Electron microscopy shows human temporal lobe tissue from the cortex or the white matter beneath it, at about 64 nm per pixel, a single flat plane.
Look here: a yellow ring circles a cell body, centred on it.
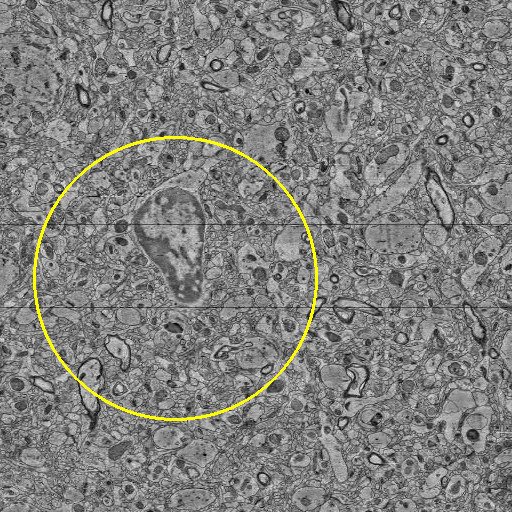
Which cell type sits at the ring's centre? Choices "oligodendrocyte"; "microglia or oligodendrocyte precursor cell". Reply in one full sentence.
The cell at the centre of the yellow ring in the picture is a microglial cell or oligodendrocyte precursor cell.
